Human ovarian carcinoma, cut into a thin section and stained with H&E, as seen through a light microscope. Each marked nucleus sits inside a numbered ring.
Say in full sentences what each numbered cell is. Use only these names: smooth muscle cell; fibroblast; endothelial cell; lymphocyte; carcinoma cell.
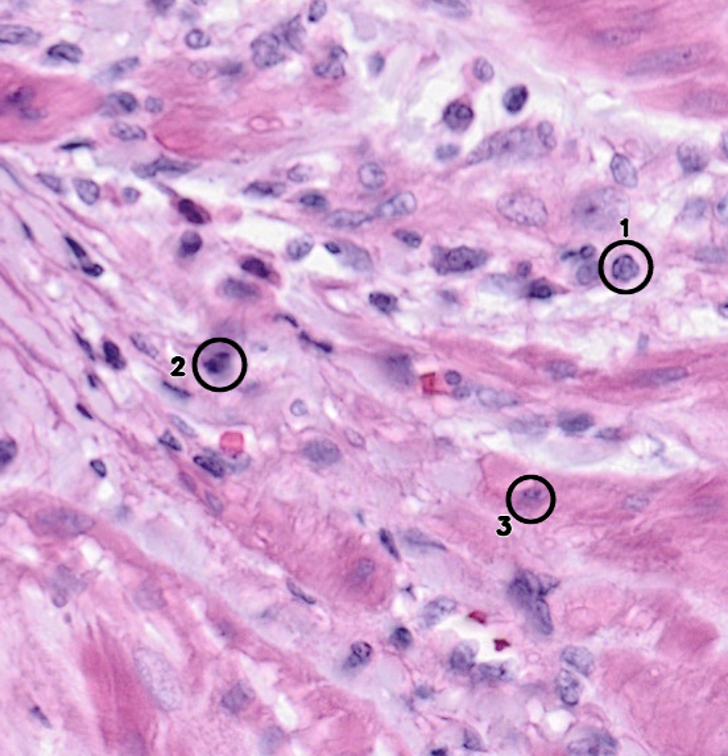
Cell 1 is a lymphocyte, cell 2 is a lymphocyte and cell 3 is a smooth muscle cell.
